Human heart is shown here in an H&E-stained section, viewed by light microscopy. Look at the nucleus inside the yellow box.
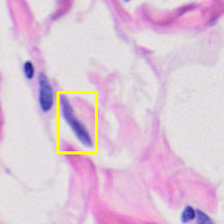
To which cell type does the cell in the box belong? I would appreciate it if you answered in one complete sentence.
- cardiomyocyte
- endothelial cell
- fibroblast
As classified here, the cell in the box is a fibroblast.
